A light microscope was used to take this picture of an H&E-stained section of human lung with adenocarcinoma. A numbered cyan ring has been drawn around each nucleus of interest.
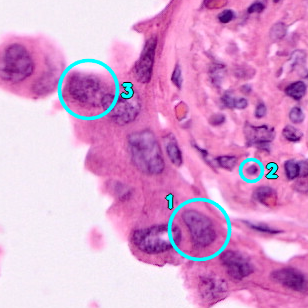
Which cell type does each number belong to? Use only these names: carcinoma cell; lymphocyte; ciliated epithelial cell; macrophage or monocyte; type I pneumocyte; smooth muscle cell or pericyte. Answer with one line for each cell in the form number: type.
1: carcinoma cell
2: lymphocyte
3: carcinoma cell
